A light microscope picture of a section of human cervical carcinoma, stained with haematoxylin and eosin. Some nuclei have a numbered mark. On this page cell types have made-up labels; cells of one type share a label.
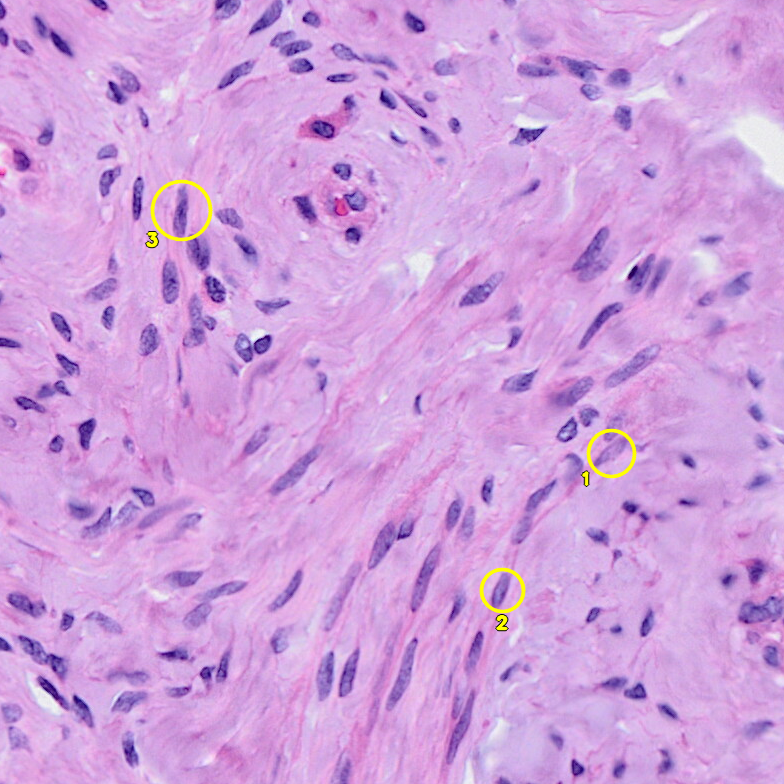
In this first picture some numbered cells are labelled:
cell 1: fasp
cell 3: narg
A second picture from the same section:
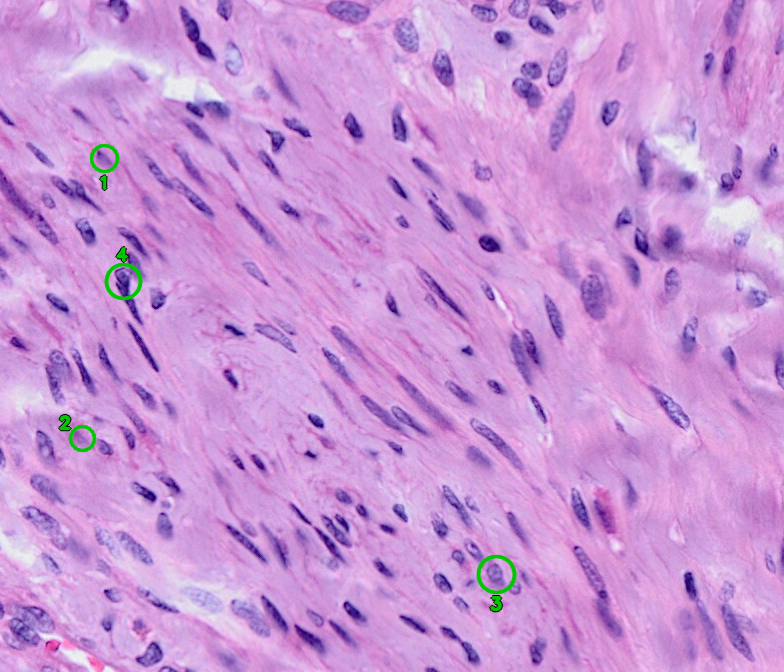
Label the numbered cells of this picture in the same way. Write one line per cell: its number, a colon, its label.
1: fasp
2: fasp
3: fasp
4: narg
